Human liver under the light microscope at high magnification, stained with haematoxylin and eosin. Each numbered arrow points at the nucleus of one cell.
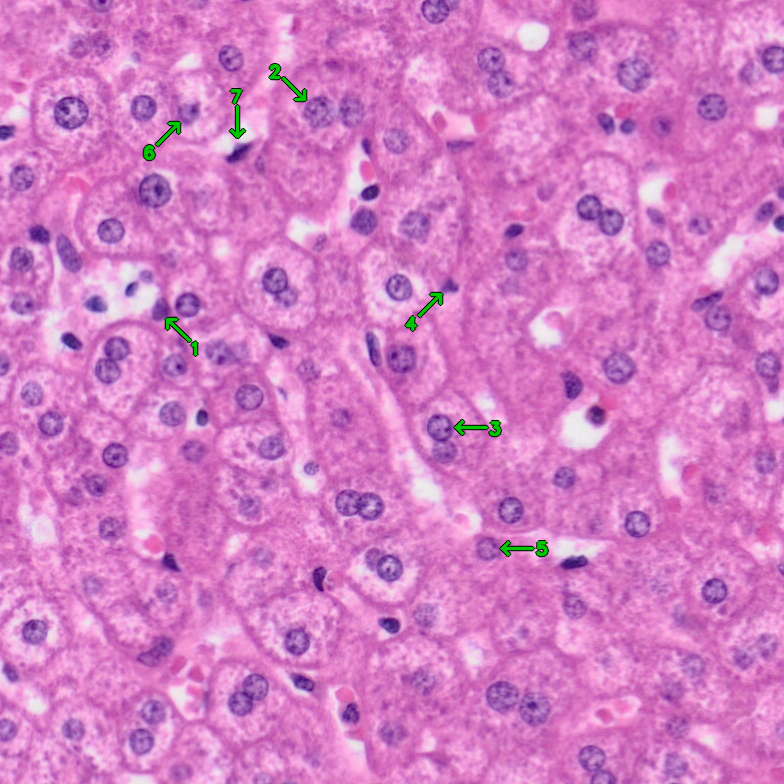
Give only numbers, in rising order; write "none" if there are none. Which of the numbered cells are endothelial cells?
1, 4, 7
